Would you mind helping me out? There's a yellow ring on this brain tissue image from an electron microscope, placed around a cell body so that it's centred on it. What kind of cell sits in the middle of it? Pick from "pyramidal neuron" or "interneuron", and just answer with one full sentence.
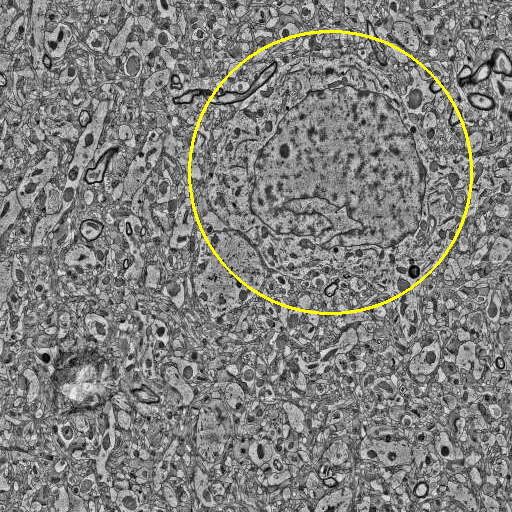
What sits in the middle of that yellow ring is an interneuron, from your choices.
